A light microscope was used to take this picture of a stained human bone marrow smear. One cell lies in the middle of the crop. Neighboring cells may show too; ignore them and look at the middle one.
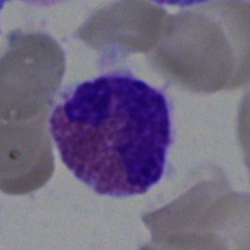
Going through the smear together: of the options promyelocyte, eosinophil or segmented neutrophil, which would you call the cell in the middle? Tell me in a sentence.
The cell occupying the middle of the crop is an eosinophil.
